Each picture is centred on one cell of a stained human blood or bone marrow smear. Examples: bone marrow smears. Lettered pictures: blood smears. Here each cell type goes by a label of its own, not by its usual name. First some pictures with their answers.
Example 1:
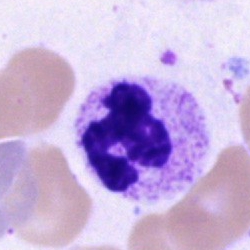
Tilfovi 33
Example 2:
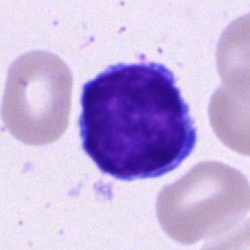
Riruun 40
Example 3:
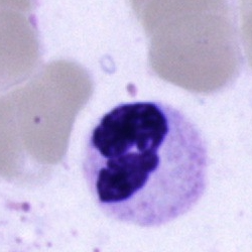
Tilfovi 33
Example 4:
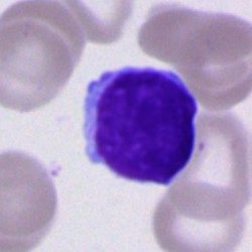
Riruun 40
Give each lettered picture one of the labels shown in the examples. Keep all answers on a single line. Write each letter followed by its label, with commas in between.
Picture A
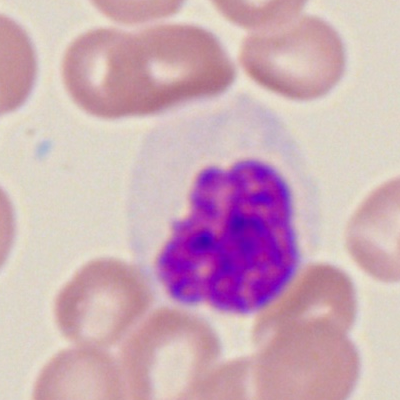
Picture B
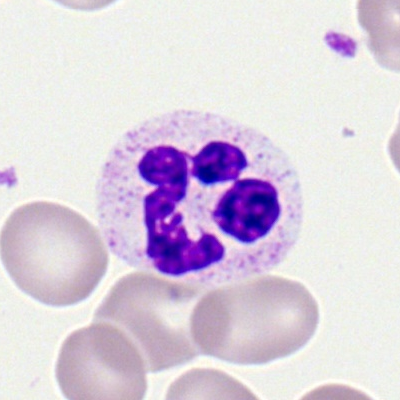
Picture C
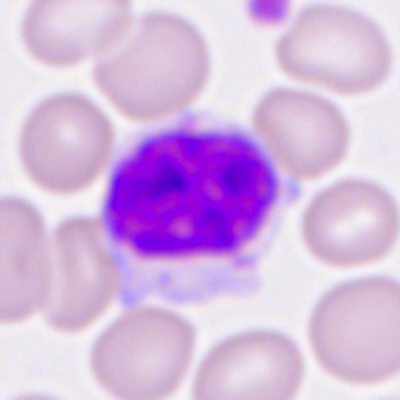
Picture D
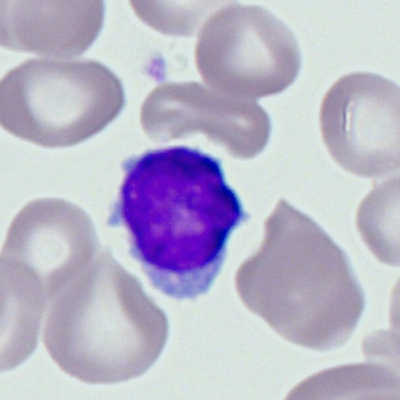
A Tilfovi 33, B Tilfovi 33, C Riruun 40, D Riruun 40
